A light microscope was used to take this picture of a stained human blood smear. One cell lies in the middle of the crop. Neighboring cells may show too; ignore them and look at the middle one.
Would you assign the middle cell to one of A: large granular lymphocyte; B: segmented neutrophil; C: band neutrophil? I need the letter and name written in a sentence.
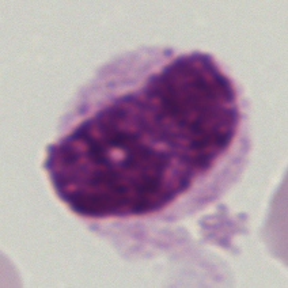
Option C is the correct selection, for the cell at the centre is a band neutrophil.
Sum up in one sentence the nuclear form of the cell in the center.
Round, oval or kidney-shaped, the nucleus is one compact mass.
